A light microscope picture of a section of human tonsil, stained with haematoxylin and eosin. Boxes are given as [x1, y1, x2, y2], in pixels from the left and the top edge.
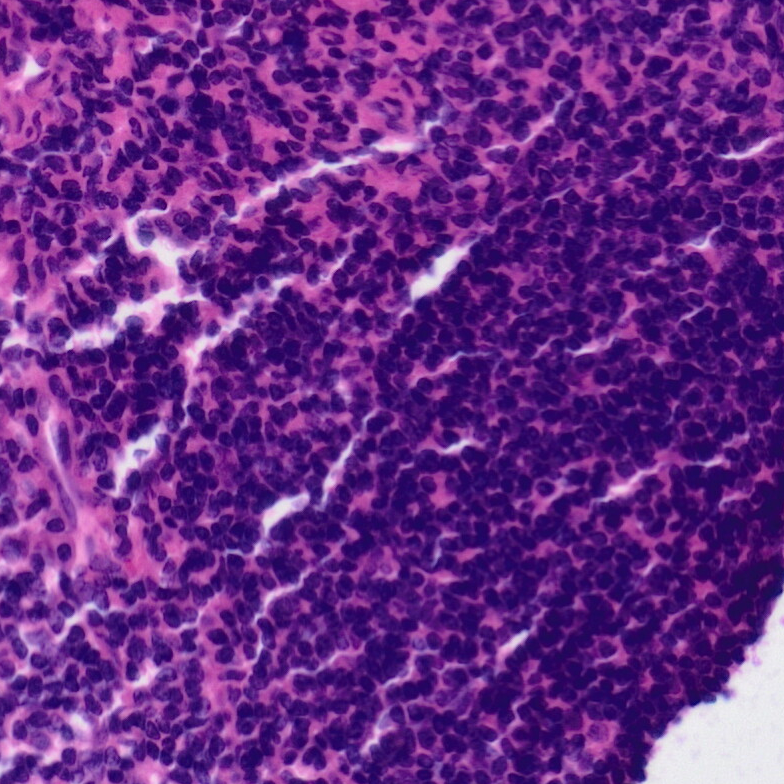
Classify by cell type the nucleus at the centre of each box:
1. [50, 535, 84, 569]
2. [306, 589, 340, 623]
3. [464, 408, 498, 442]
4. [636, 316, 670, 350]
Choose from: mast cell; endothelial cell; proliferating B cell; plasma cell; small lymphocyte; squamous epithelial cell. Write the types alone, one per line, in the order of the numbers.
plasma cell
small lymphocyte
small lymphocyte
small lymphocyte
